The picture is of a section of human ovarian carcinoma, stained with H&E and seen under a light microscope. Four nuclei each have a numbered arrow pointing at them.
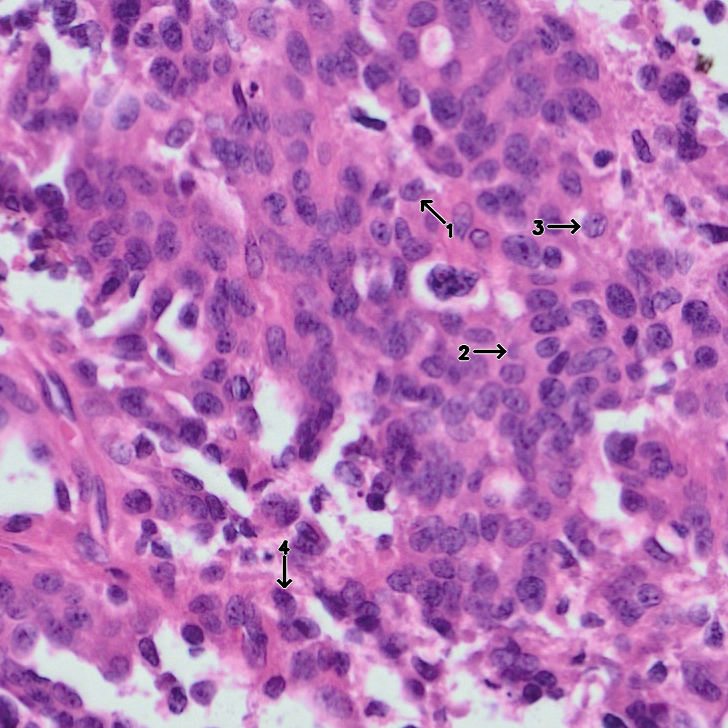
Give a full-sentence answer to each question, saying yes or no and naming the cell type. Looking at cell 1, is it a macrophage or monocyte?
Yes, it checks out; the cell labelled 1 is a macrophage or monocyte.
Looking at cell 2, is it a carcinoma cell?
Yes, the cell carrying number 2 is a carcinoma cell.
